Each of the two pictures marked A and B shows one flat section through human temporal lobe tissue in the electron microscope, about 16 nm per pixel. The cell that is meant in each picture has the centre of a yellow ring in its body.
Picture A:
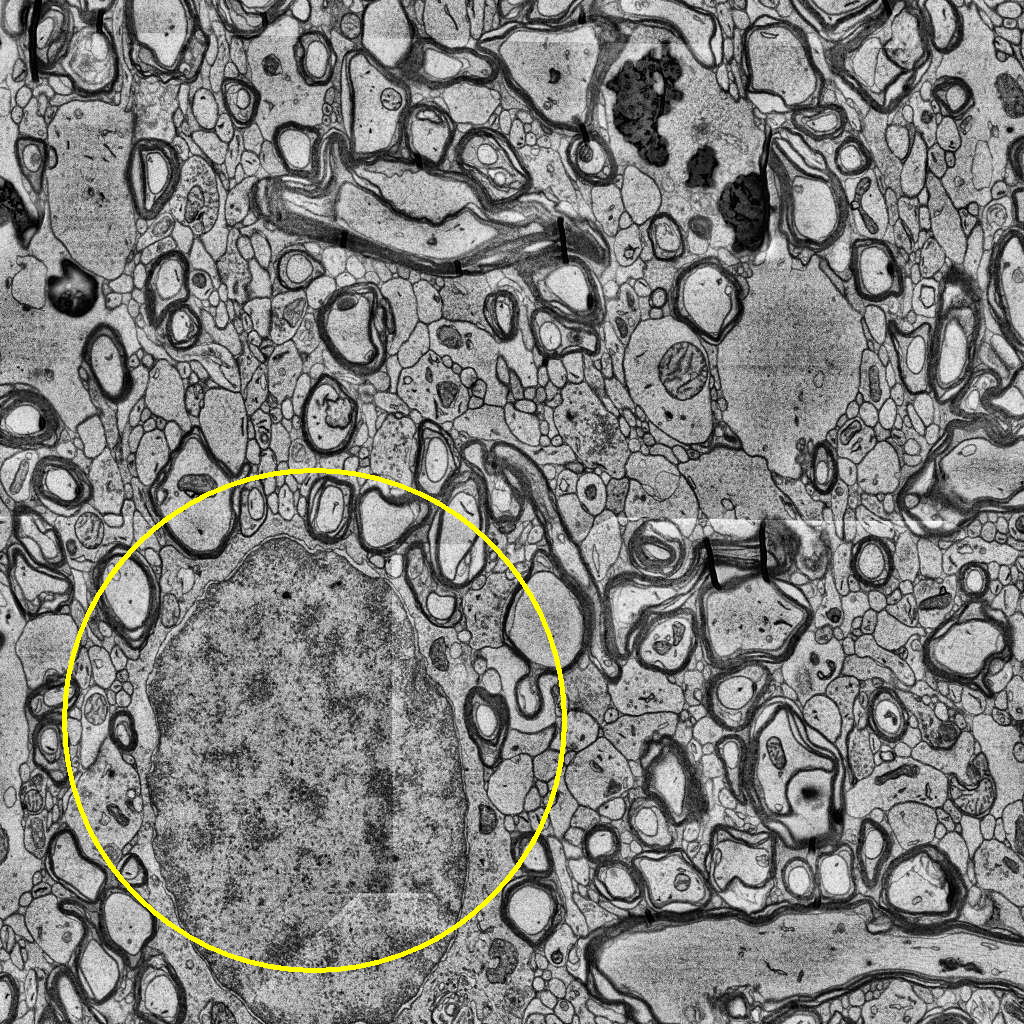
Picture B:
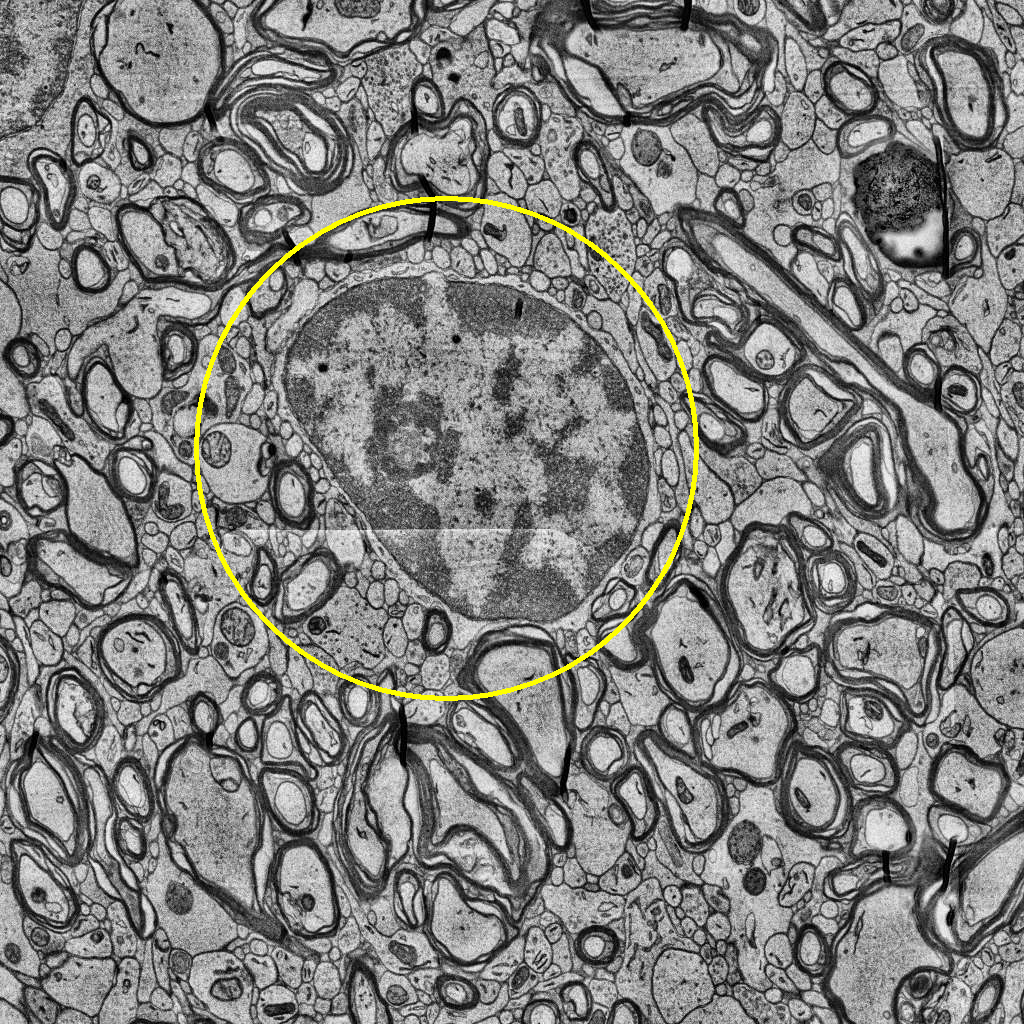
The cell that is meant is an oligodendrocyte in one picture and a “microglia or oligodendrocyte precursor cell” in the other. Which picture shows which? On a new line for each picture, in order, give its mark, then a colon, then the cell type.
A: oligodendrocyte
B: microglia or oligodendrocyte precursor cell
